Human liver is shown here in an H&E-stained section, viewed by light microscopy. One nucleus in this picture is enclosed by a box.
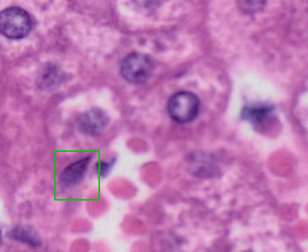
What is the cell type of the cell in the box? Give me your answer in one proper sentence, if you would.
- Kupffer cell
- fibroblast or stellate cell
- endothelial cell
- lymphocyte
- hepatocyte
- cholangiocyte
In this section, the cell in the box is a fibroblast or stellate cell.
